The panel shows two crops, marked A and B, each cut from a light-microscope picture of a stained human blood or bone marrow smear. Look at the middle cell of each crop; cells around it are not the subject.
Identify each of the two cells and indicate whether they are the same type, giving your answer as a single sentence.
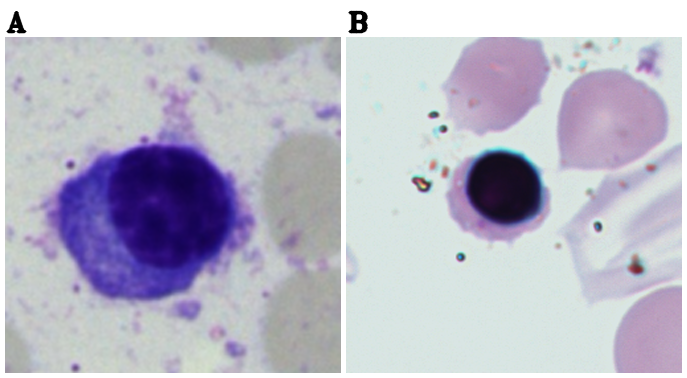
No, shown in crop A is a plasma cell, and shown in crop B is an erythroblast.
